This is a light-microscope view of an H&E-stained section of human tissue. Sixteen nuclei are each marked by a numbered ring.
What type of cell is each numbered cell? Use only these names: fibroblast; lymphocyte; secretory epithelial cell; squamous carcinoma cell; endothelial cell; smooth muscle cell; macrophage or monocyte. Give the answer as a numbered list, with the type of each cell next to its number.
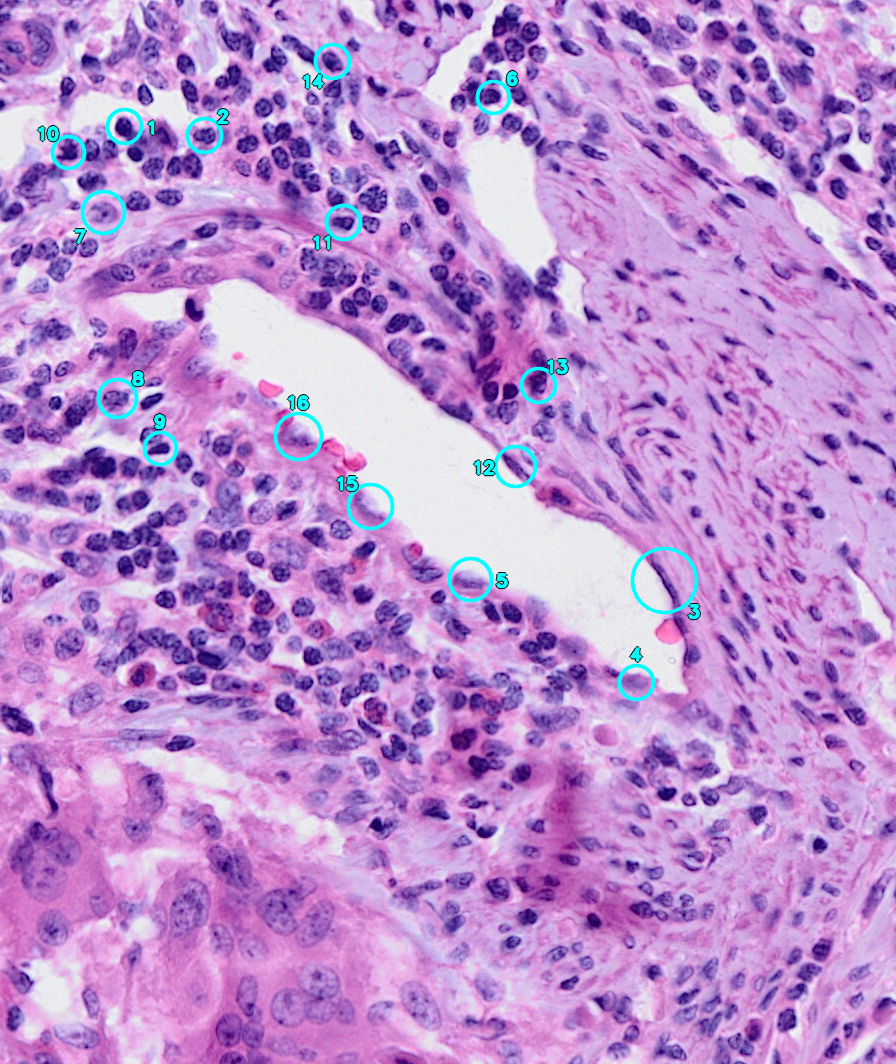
1. lymphocyte
2. lymphocyte
3. endothelial cell
4. endothelial cell
5. endothelial cell
6. lymphocyte
7. macrophage or monocyte
8. lymphocyte
9. lymphocyte
10. lymphocyte
11. lymphocyte
12. endothelial cell
13. lymphocyte
14. lymphocyte
15. endothelial cell
16. endothelial cell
